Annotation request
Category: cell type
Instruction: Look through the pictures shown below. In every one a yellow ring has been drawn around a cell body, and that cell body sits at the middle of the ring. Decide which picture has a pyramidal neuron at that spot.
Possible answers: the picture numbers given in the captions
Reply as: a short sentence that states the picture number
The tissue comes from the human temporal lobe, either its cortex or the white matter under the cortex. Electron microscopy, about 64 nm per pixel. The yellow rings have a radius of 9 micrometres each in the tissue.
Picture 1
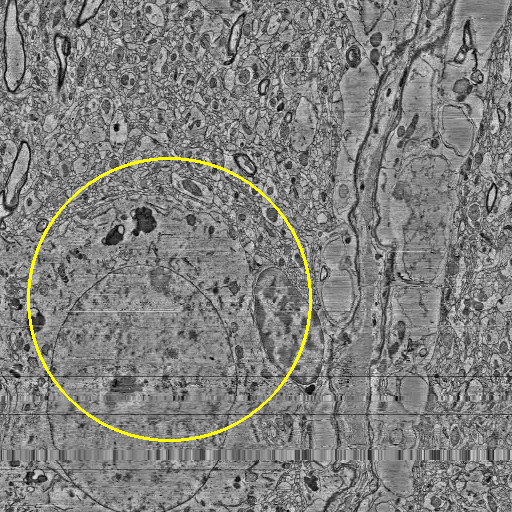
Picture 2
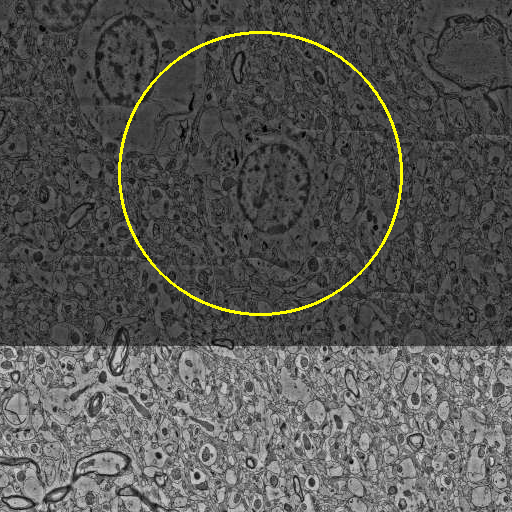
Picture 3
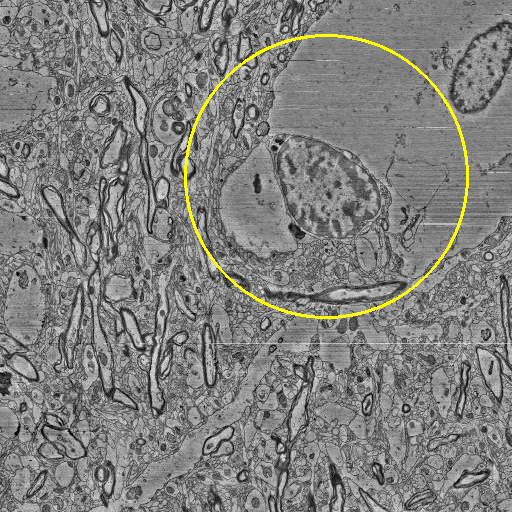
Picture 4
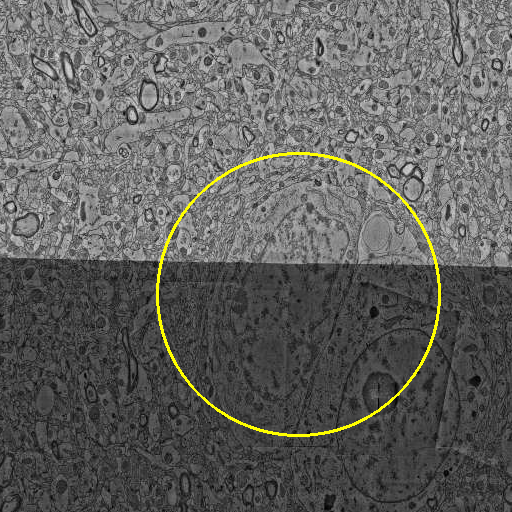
It is in Picture 1.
